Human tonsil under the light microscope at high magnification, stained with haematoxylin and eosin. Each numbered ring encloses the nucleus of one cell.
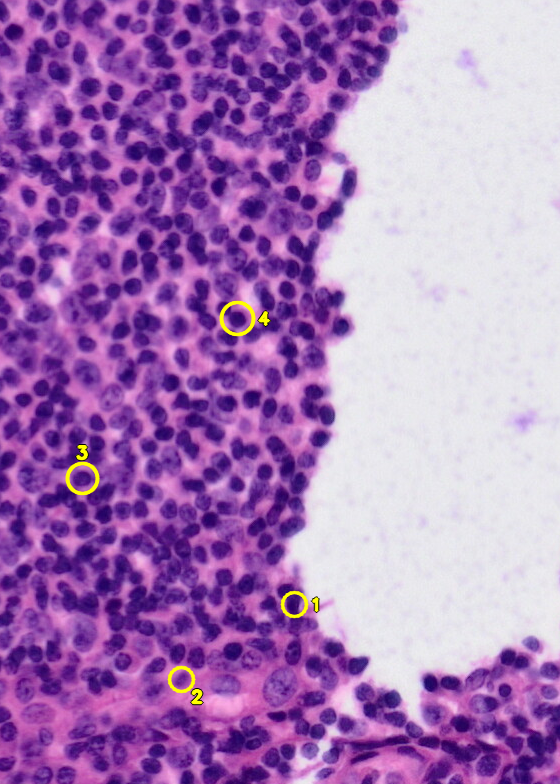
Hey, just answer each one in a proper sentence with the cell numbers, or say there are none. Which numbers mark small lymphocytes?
Cells 1, 3 and 4 are recognised here as small lymphocytes.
